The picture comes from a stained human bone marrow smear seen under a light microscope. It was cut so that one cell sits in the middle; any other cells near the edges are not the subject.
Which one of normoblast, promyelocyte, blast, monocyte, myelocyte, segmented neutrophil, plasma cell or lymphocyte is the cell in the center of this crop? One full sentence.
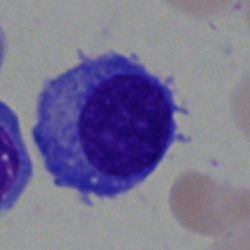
The cell occupying the middle of the crop is a plasma cell.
